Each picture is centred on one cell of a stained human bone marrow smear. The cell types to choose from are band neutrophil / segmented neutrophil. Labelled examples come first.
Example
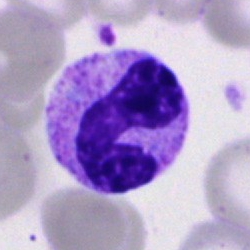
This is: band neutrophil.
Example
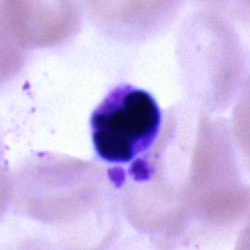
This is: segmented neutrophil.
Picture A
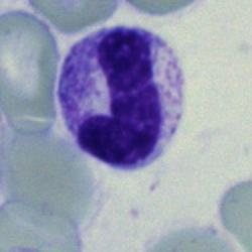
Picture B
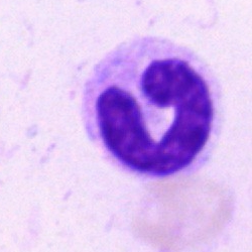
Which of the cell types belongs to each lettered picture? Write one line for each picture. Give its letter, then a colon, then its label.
A: band neutrophil.
B: band neutrophil.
